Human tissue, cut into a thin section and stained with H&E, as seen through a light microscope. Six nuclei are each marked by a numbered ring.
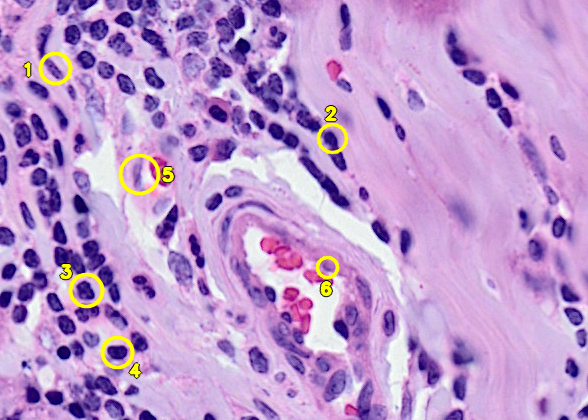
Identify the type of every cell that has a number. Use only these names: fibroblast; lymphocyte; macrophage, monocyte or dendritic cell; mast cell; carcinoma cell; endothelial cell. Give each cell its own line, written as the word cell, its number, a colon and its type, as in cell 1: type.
cell 1: lymphocyte
cell 2: lymphocyte
cell 3: lymphocyte
cell 4: lymphocyte
cell 5: endothelial cell
cell 6: endothelial cell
